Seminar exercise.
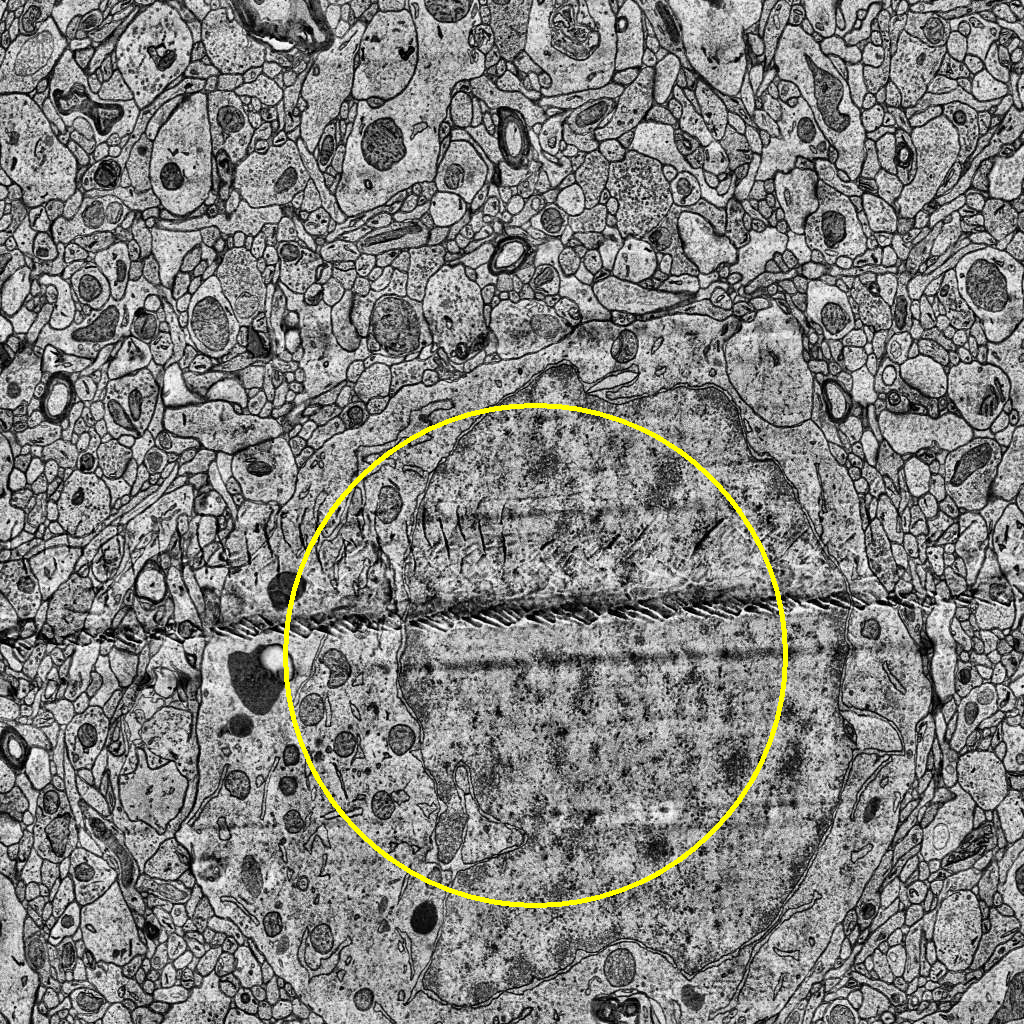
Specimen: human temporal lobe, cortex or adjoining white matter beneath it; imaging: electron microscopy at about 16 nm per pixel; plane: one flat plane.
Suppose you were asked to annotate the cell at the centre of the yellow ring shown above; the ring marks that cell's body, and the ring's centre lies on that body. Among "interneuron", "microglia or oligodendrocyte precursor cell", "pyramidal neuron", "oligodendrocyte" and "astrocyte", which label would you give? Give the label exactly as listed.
interneuron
